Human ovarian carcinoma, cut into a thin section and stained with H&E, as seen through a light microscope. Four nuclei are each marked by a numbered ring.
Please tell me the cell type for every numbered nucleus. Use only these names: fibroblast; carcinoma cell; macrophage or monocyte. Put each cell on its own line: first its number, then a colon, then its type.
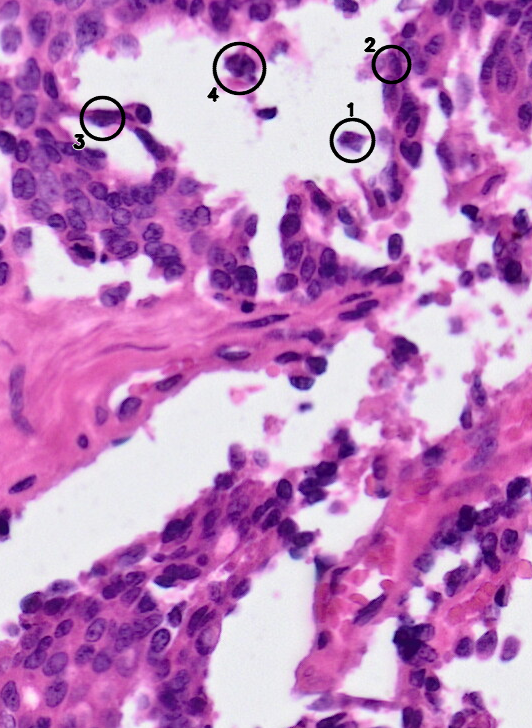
1: carcinoma cell
2: carcinoma cell
3: carcinoma cell
4: macrophage or monocyte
